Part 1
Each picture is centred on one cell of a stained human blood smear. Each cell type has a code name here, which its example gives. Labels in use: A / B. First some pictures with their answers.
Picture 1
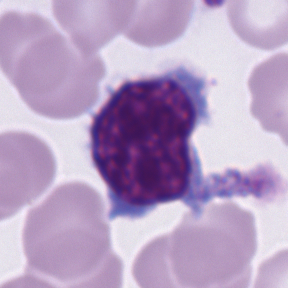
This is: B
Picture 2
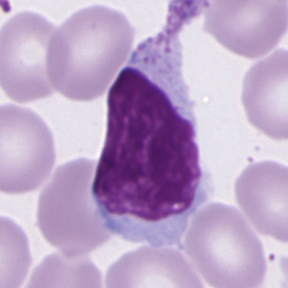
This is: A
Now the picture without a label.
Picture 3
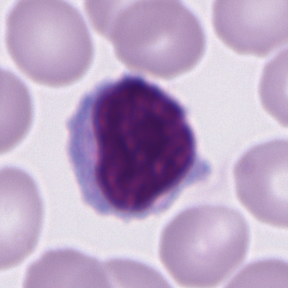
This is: B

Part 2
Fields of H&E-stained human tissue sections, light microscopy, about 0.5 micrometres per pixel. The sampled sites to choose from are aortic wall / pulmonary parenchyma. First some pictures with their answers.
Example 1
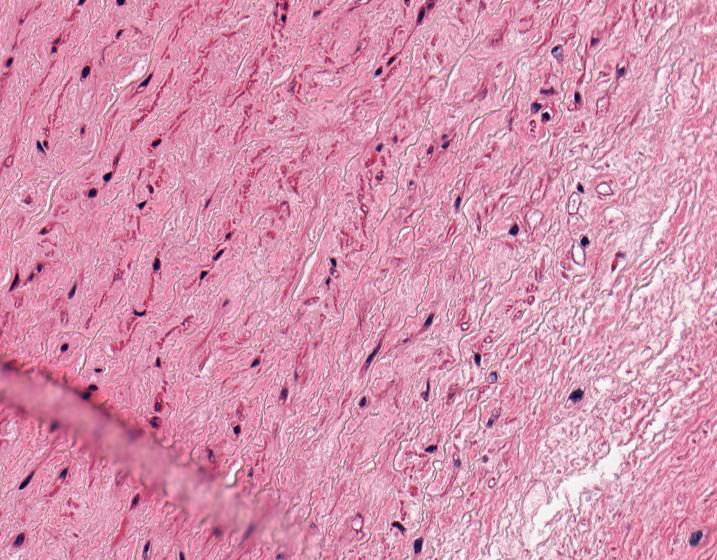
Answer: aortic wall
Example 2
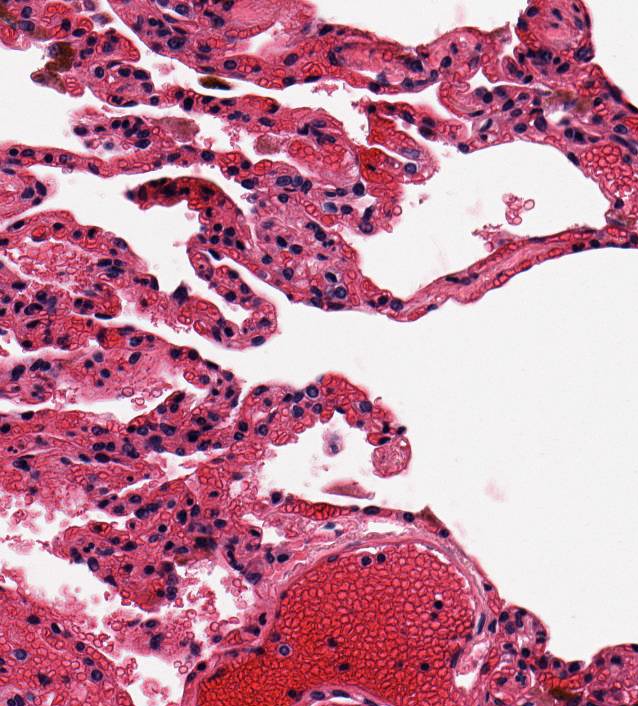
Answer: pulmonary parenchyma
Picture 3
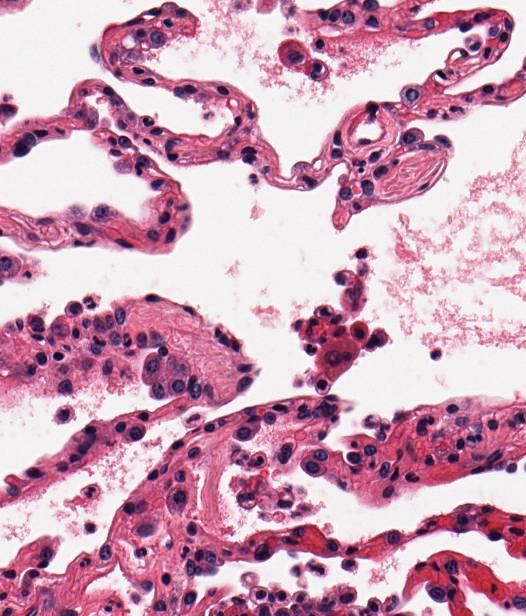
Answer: pulmonary parenchyma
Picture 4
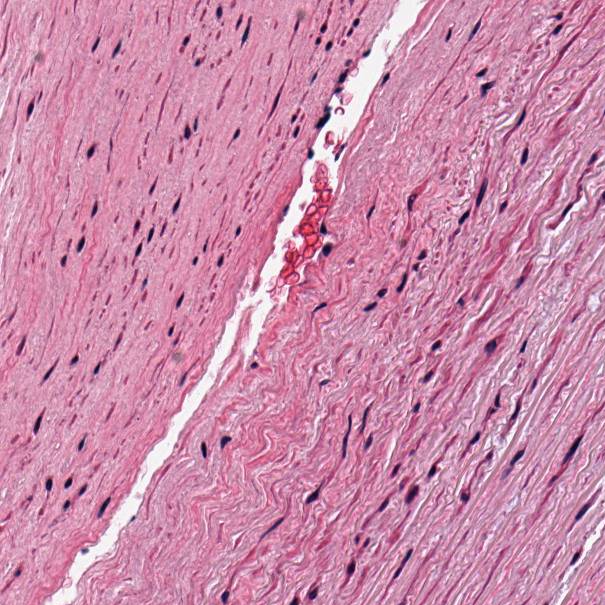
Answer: aortic wall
